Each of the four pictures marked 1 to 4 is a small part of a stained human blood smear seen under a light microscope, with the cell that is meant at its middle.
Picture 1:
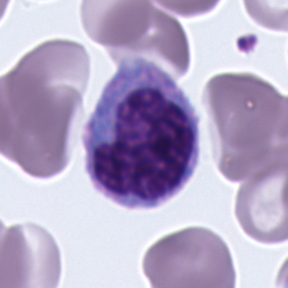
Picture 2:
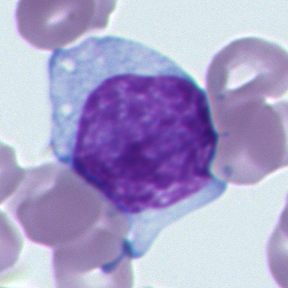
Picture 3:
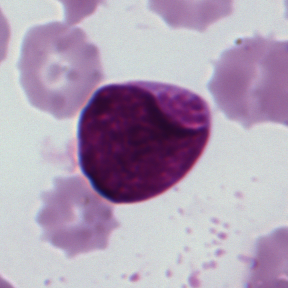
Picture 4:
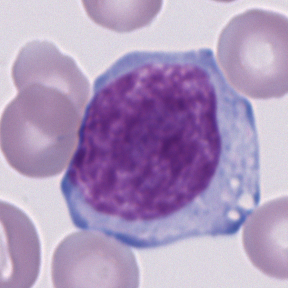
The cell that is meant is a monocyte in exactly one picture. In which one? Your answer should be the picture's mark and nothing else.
1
